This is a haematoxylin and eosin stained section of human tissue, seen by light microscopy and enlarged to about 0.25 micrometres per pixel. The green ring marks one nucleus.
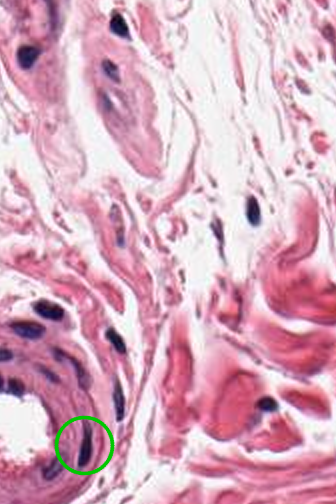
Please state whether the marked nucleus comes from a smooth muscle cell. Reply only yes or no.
yes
